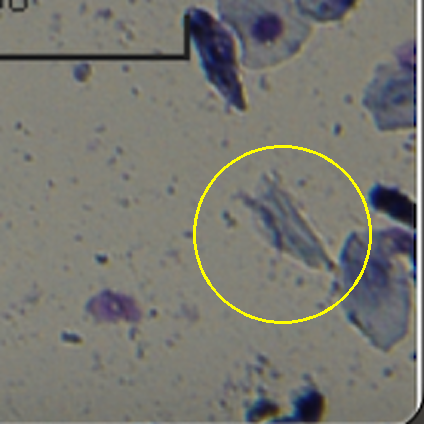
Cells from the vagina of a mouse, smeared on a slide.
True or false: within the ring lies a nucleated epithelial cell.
False: a cornified epithelial cell lies within the ring.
